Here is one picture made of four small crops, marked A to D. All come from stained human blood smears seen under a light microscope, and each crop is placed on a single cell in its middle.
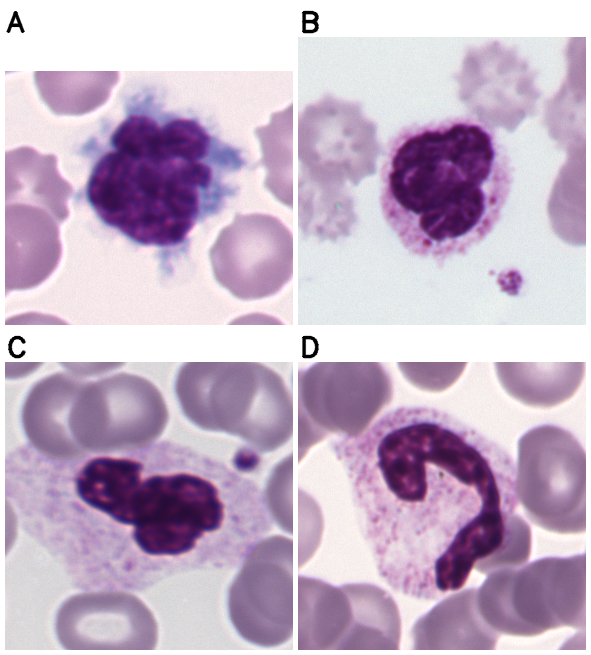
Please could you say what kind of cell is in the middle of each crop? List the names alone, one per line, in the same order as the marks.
hairy cell
neutrophil
neutrophil
neutrophil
